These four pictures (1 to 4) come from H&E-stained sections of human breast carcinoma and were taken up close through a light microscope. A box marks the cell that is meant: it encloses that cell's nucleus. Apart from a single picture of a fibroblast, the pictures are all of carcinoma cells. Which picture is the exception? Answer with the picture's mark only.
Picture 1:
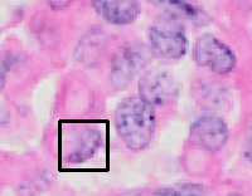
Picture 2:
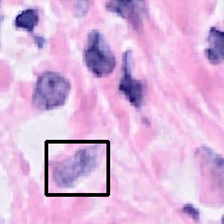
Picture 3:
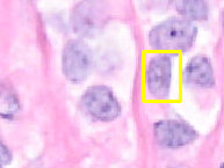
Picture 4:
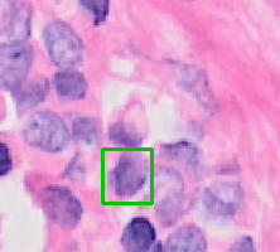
2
